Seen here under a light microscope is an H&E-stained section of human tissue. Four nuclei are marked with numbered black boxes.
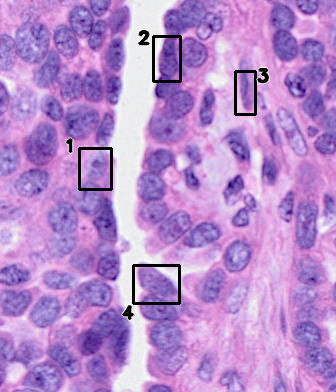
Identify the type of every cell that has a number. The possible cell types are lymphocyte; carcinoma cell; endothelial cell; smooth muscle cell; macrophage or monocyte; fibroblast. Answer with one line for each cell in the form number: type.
1: carcinoma cell
2: carcinoma cell
3: fibroblast
4: carcinoma cell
